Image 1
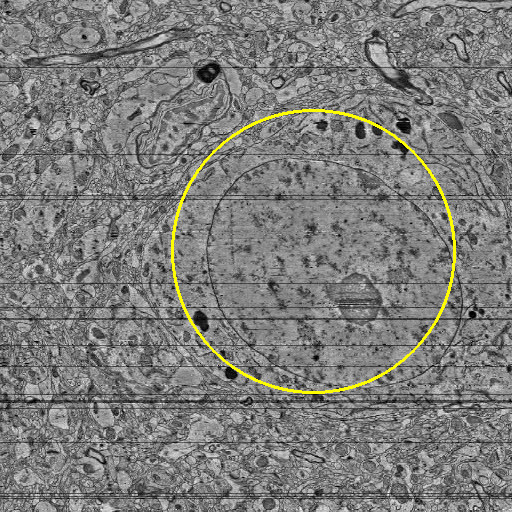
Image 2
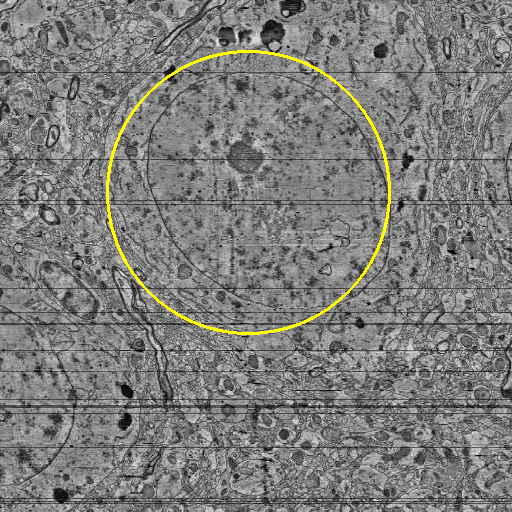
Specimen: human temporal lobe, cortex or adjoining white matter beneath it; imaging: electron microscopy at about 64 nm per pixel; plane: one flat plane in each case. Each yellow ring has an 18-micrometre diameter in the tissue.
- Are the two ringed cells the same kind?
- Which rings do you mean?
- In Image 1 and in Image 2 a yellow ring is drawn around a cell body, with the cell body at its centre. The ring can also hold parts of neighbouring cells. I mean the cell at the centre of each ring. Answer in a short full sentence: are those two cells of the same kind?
Yes, both cells are of the same kind.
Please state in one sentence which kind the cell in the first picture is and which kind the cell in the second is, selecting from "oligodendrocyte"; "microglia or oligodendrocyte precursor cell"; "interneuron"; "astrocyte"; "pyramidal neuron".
The cell in the first picture is a pyramidal neuron, and so is the one in the second.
